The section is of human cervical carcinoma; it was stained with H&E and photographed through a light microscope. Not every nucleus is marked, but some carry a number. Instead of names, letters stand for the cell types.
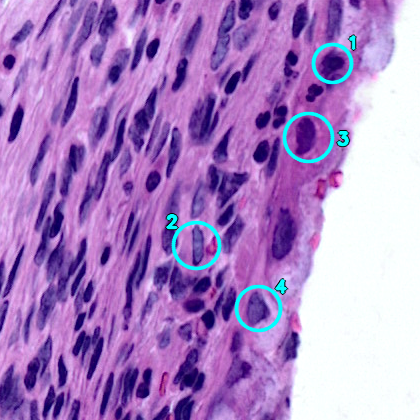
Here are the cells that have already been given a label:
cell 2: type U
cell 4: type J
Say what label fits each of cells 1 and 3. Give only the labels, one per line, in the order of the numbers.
type J
type J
